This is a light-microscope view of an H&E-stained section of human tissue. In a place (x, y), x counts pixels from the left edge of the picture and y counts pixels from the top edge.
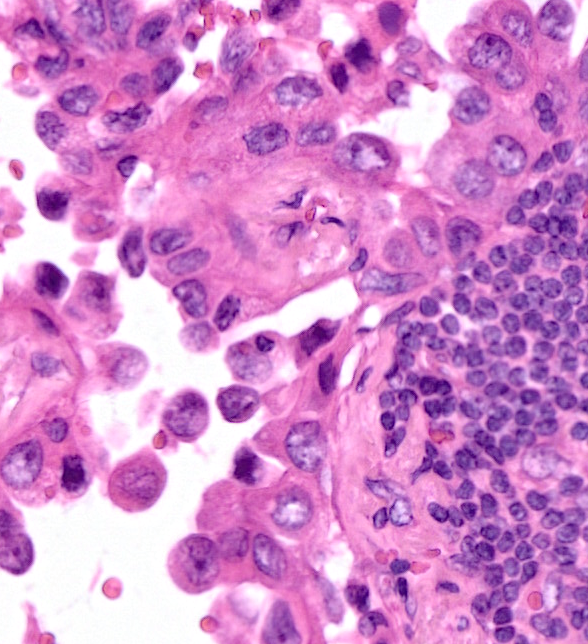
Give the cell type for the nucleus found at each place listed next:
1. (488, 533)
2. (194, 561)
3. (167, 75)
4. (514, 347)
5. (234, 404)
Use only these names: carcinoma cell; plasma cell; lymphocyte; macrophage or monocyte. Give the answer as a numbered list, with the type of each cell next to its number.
1. lymphocyte
2. carcinoma cell
3. carcinoma cell
4. lymphocyte
5. carcinoma cell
